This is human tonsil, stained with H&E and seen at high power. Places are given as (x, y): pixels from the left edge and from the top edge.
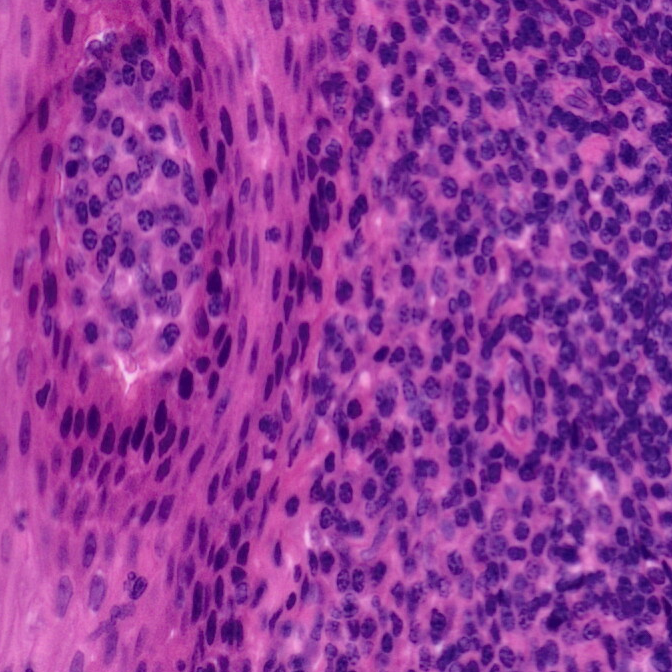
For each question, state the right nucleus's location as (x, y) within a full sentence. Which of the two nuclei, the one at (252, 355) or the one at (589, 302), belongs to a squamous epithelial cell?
The nucleus positioned at (252, 355) is the one that belongs to a squamous epithelial cell.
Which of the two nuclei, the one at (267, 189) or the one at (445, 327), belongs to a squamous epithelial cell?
The one belonging to a squamous epithelial cell is the nucleus at (267, 189), not the other.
